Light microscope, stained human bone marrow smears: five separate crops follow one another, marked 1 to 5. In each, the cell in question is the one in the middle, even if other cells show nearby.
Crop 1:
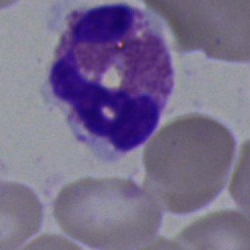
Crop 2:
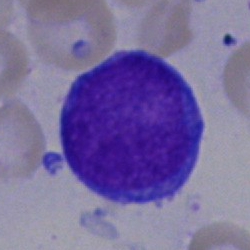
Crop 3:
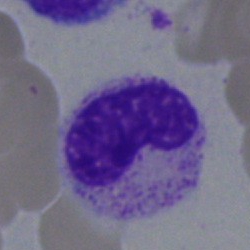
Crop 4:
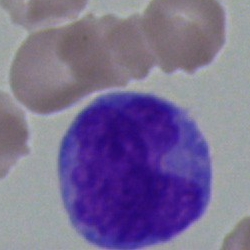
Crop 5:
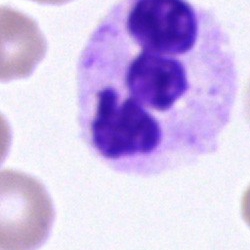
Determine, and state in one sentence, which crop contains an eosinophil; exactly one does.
It is in crop 1, among all the crops, that an eosinophil is present.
